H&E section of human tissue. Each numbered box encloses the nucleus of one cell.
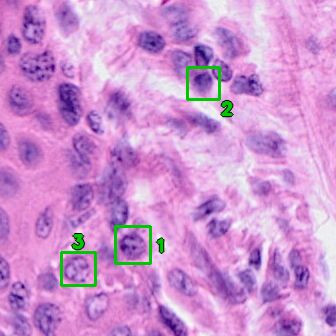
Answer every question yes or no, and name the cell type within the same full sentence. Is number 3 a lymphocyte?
No, calling cell 3 a lymphocyte is a mistake; it is a squamous carcinoma cell.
